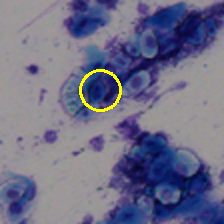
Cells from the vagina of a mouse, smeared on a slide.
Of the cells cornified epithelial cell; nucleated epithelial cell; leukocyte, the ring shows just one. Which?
The ring shows a nucleated epithelial cell.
